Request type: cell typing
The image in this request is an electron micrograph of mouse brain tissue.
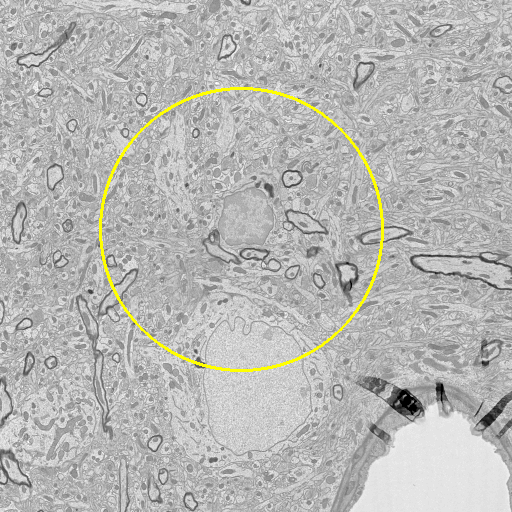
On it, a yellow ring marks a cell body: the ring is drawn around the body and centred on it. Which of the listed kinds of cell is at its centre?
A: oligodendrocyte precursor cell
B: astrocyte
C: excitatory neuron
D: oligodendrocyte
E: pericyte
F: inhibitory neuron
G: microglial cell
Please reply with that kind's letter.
G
